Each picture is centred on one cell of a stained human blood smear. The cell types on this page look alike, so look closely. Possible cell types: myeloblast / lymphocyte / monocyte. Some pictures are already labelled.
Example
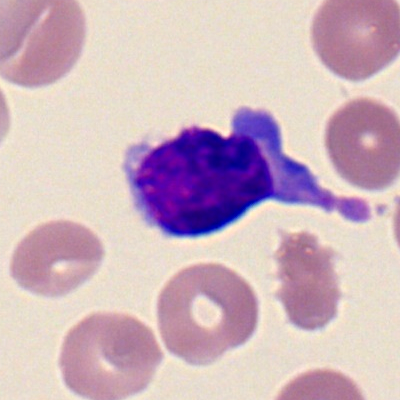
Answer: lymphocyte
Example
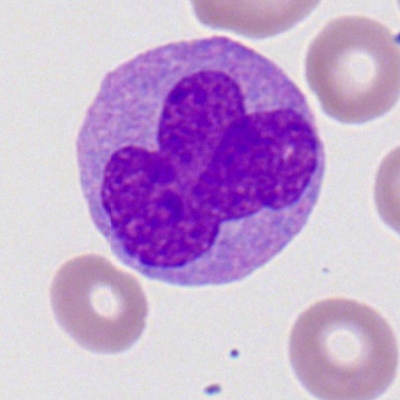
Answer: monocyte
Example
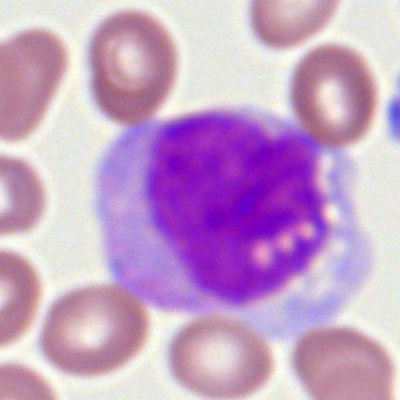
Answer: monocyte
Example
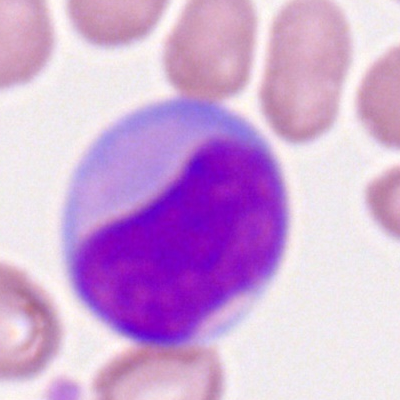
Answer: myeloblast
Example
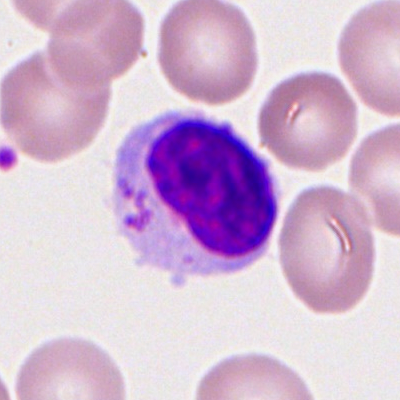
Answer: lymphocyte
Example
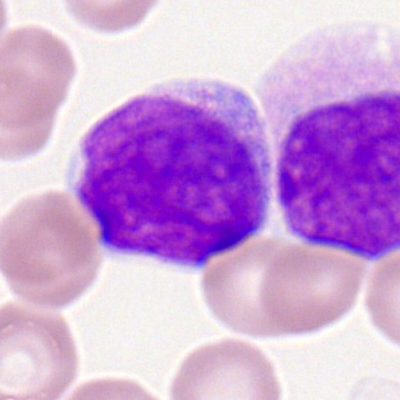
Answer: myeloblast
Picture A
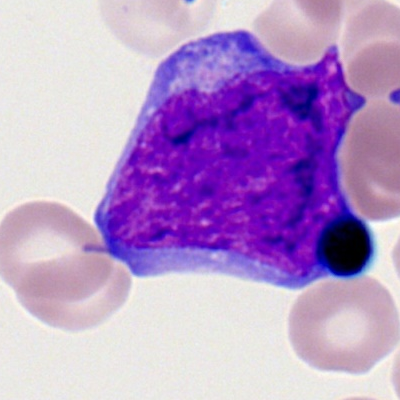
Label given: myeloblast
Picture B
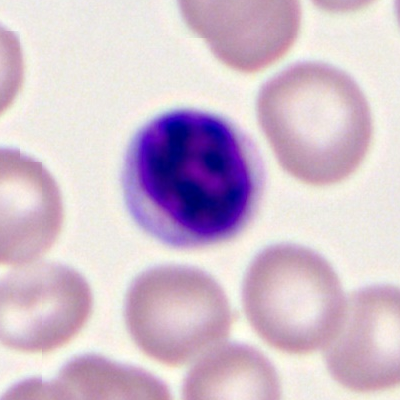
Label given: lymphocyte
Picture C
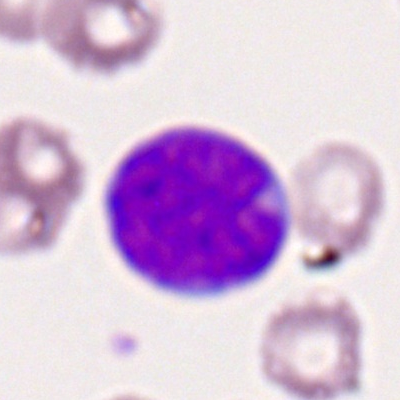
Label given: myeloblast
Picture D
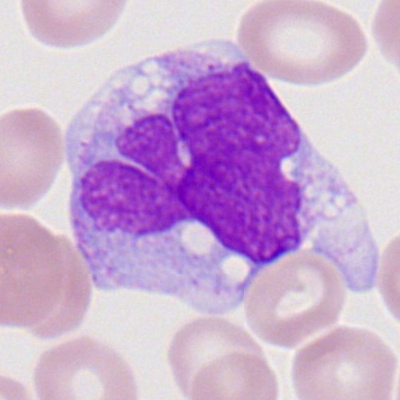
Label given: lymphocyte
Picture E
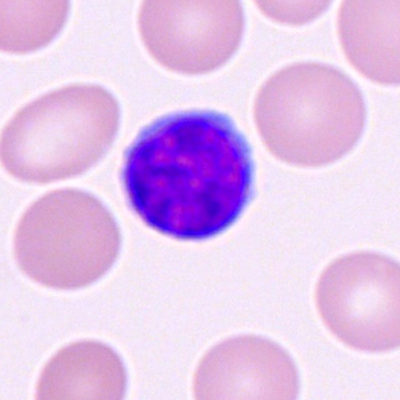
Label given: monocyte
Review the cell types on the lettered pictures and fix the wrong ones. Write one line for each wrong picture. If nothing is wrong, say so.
D is labelled lymphocyte; correct label: monocyte
E is labelled monocyte; correct label: lymphocyte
